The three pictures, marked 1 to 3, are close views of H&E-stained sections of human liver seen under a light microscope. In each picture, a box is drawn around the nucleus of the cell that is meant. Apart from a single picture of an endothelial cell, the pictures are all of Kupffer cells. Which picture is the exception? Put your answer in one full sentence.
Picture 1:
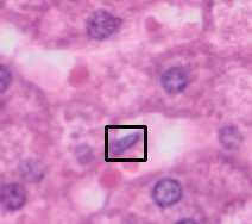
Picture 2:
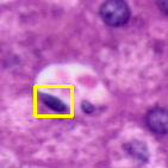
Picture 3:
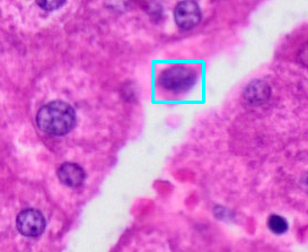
The cell in picture 2 is the endothelial cell.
